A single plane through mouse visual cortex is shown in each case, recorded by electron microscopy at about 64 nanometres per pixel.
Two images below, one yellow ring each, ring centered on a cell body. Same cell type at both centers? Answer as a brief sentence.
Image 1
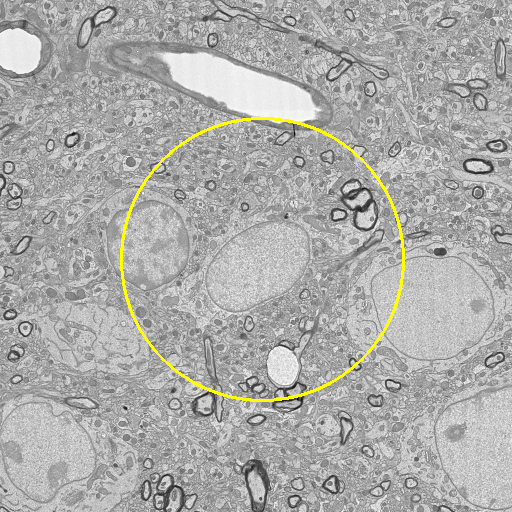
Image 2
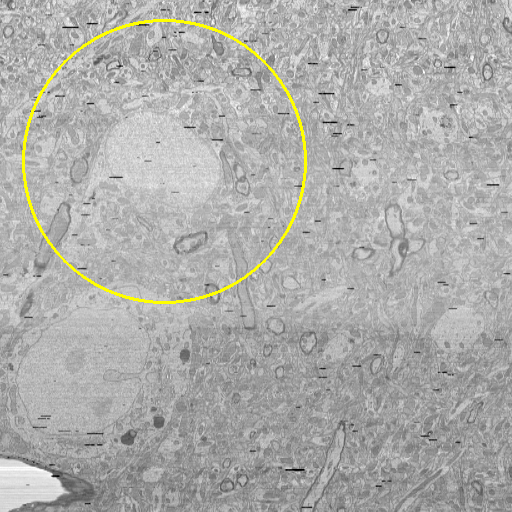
Yes, both cells are of the same type.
